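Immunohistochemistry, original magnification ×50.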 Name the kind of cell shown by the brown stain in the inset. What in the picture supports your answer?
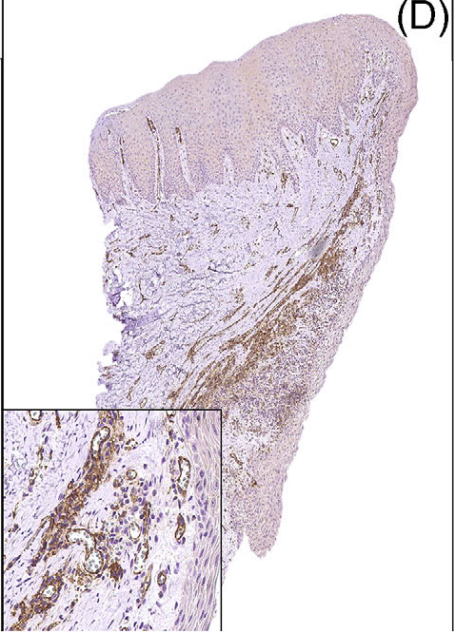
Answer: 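Endothelial cells. In the inset, brown stain lines thin rings around small open lumina. Brown-outlined channels run through the connective tissue beneath the epithelium.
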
